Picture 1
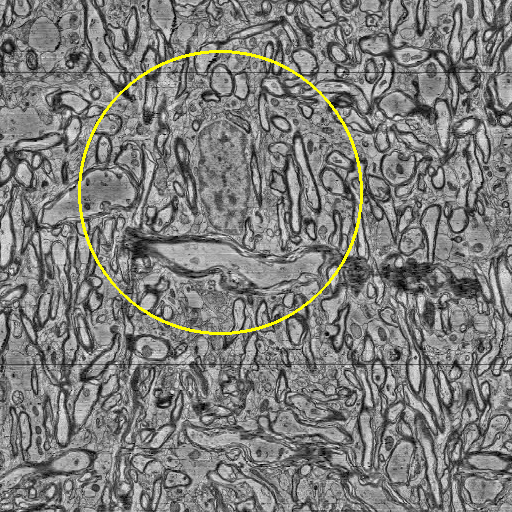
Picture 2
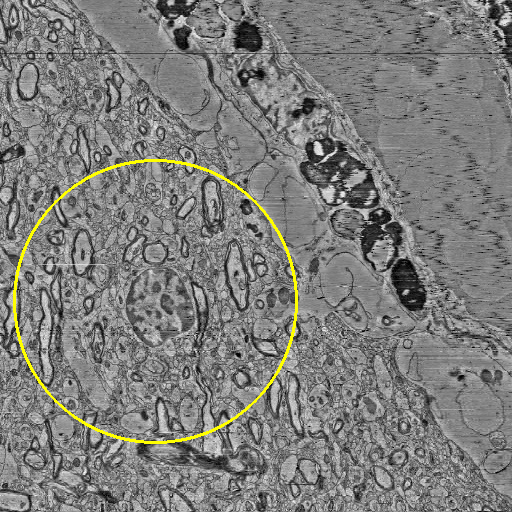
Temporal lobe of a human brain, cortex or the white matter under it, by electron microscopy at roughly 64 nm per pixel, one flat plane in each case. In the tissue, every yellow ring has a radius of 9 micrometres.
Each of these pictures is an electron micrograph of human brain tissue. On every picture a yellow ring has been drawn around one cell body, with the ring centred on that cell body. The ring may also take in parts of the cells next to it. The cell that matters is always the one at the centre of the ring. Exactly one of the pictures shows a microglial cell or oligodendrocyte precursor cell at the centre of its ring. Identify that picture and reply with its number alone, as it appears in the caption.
2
